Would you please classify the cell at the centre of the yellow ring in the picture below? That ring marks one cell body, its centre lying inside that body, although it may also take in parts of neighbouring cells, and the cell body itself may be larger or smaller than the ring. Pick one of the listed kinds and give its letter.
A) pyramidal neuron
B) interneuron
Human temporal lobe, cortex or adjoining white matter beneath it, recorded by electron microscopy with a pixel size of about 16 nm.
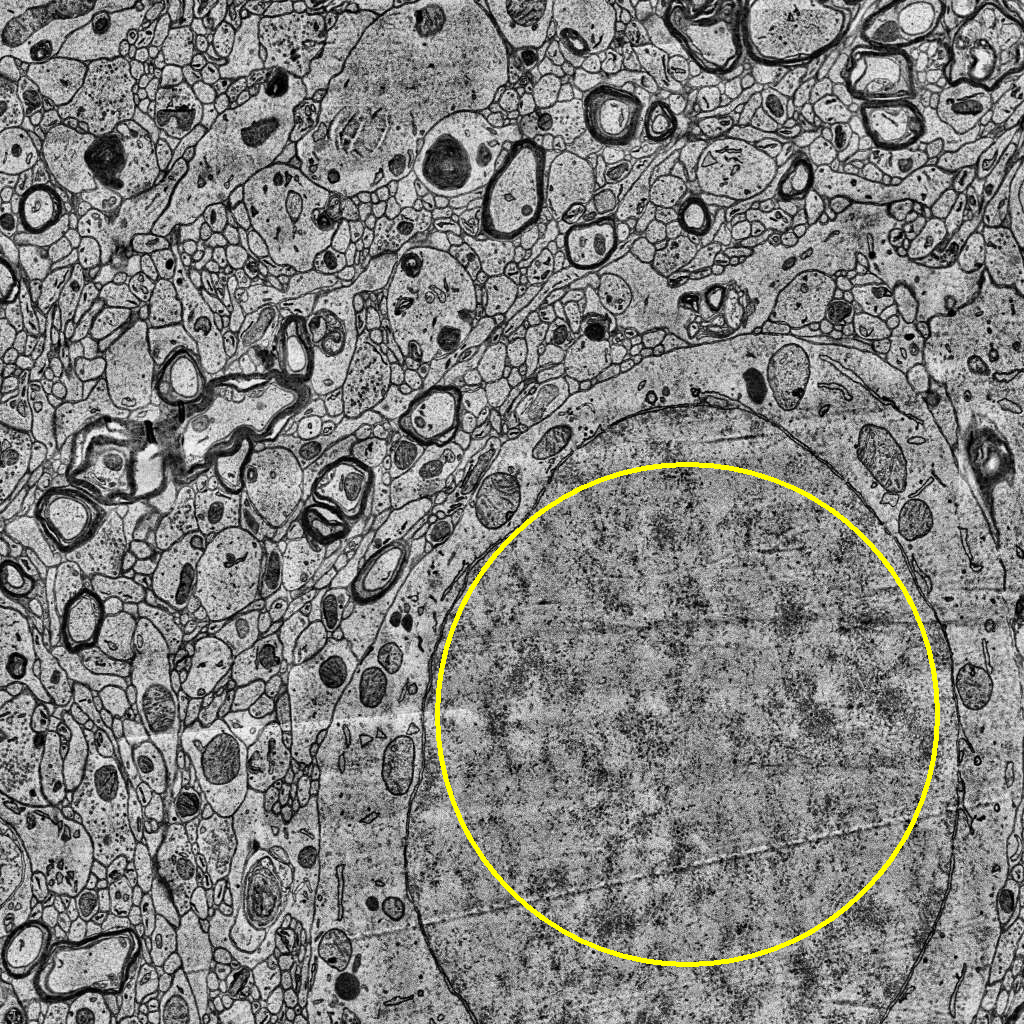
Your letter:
A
